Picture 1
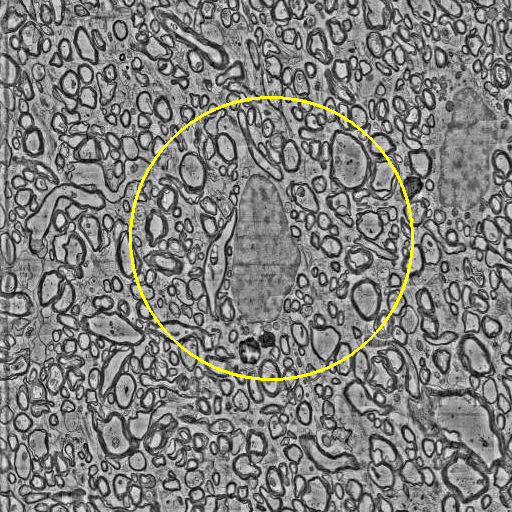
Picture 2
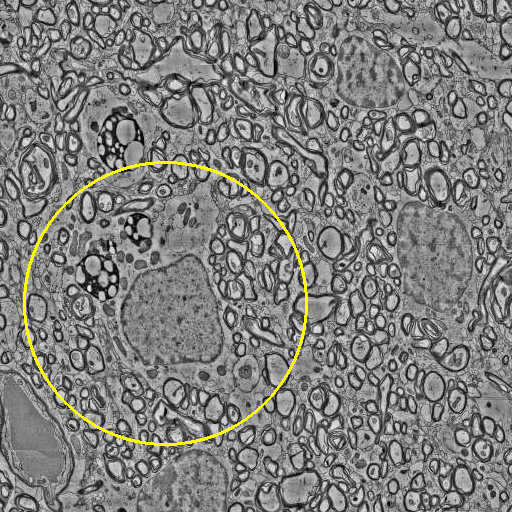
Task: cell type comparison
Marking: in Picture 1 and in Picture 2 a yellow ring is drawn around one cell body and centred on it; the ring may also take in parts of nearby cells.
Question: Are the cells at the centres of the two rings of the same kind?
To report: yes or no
no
